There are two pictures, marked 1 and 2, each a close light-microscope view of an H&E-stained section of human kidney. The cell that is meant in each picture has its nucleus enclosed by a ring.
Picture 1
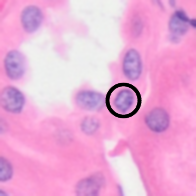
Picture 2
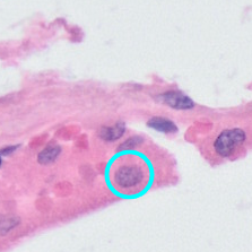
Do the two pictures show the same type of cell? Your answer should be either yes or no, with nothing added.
no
